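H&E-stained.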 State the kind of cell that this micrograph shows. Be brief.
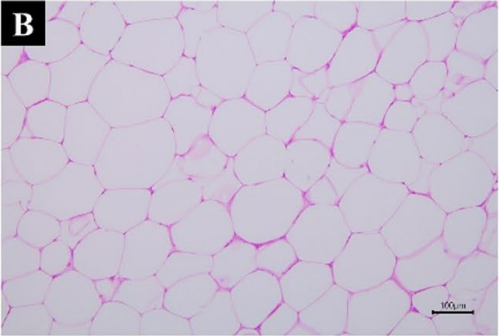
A: adipocytes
